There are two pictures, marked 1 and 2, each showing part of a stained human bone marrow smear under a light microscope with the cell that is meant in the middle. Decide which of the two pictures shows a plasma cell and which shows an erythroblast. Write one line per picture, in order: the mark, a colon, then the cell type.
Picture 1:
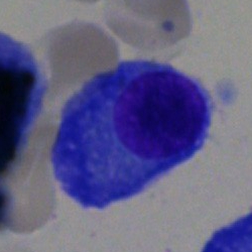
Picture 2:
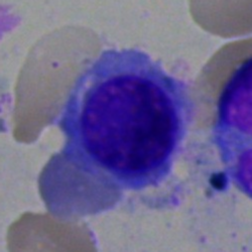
1: plasma cell
2: erythroblast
